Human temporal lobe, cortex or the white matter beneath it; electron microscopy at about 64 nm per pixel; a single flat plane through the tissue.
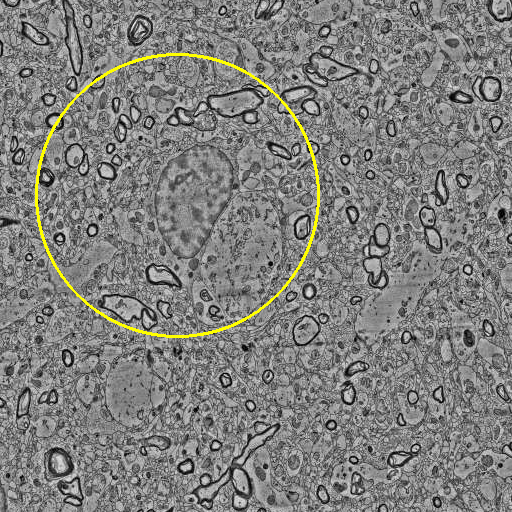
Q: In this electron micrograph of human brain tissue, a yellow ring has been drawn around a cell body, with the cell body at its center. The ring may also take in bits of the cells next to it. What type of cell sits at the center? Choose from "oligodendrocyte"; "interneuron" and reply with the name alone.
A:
oligodendrocyte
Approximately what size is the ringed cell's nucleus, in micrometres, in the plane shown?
In this plane the nucleus is about 7 micrometres by 5.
